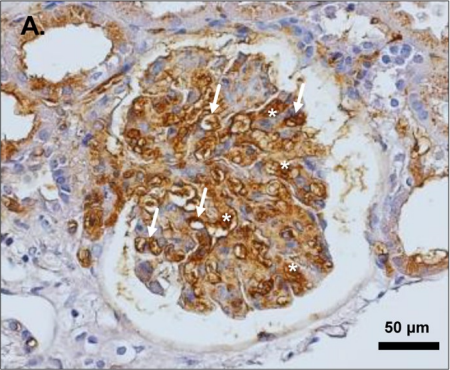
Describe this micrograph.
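A glomerulus fills the centre, its tuft of capillary loops heavily stained brown, both in the solid mesangial regions between loops and along the walls of many open capillary lumina. The capillary lumina appear as small round or oval clear spaces rimmed by brown. A clear Bowman's space surrounds the tuft on much of its circumference, bounded by a thin capsule. Around the glomerulus lie tubules whose epithelial cells show blue nuclei and paler cytoplasm, some with brown staining along their borders. The intensity of brown in the tuft is far greater than in the surrounding tubulointerstitium.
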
